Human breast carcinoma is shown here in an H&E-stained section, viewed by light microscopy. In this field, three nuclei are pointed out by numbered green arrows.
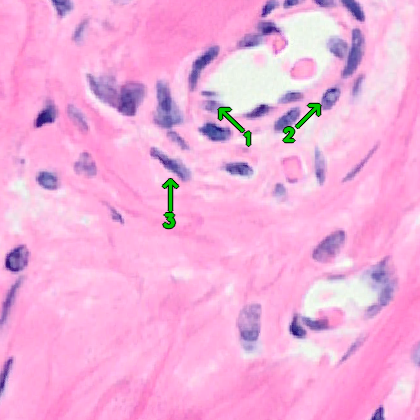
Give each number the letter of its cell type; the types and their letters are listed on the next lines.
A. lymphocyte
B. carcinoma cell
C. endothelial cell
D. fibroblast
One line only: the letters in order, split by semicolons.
C; C; D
